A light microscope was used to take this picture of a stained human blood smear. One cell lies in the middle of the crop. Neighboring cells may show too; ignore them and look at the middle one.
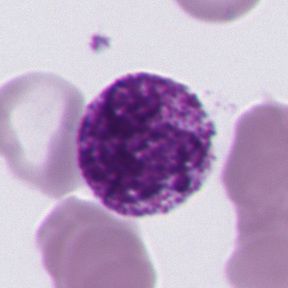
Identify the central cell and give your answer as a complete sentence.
The cell at the middle of the crop is recognized as a basophil.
